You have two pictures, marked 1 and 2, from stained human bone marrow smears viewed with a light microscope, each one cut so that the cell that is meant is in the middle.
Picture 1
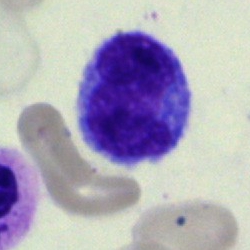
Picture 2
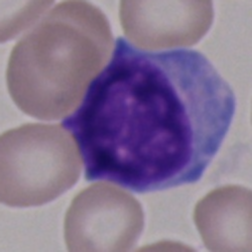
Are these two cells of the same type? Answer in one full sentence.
No. Picture 1 shows a monocyte, but picture 2 shows a blast.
